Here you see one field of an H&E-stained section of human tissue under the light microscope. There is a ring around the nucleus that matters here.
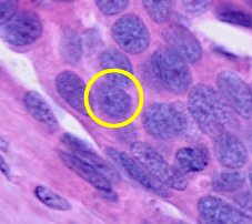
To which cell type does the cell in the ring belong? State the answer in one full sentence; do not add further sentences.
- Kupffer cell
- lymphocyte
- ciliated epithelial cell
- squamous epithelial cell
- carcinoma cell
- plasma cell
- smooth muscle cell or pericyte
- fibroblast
Right, so the cell in the ring is a carcinoma cell, to answer that.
